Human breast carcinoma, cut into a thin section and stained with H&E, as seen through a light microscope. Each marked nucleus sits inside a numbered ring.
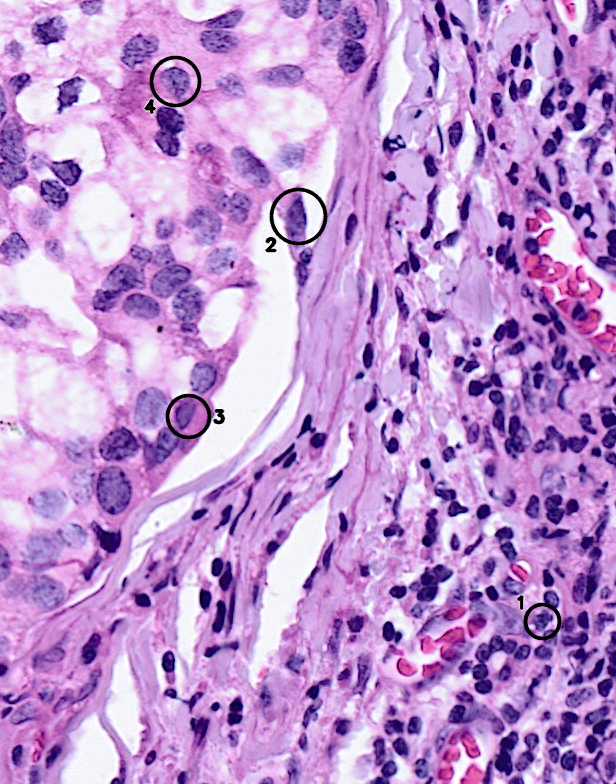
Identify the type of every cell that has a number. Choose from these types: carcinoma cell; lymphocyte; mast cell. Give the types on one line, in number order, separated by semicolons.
lymphocyte; carcinoma cell; carcinoma cell; carcinoma cell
